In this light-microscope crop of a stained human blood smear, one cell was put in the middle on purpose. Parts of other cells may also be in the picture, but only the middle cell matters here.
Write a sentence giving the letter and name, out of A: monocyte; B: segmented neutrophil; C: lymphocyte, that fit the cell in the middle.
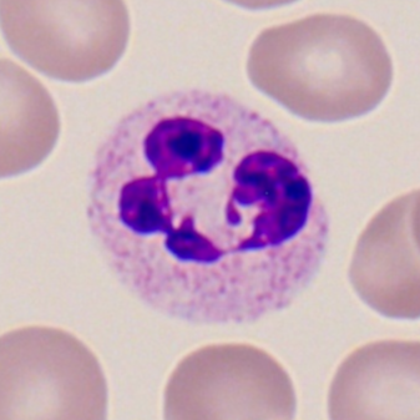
Here the central cell is a segmented neutrophil, and option B is correct.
